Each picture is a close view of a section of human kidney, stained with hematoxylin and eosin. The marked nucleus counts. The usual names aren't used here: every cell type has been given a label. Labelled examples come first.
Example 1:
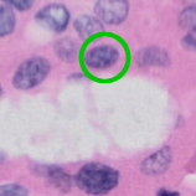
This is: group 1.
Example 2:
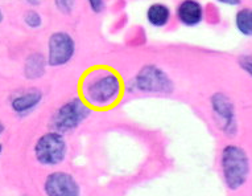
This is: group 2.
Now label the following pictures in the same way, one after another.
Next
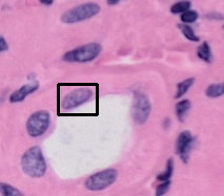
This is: group 1.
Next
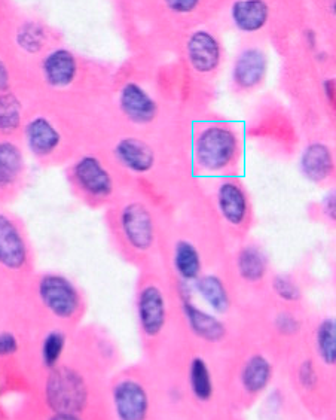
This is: group 1.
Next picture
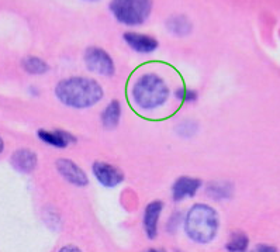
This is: group 2.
